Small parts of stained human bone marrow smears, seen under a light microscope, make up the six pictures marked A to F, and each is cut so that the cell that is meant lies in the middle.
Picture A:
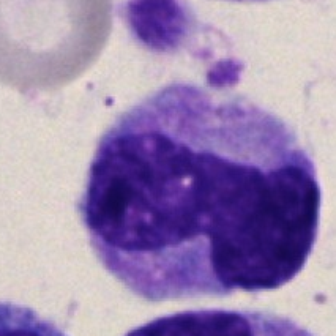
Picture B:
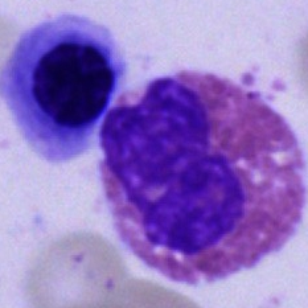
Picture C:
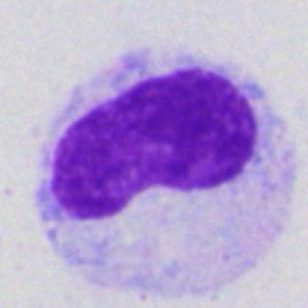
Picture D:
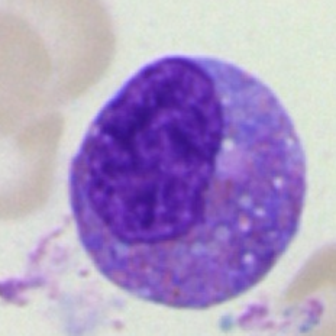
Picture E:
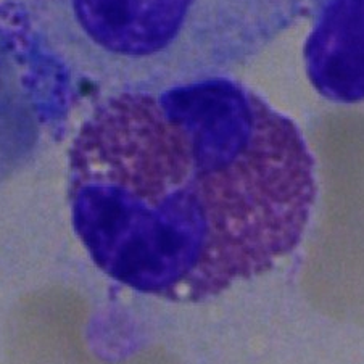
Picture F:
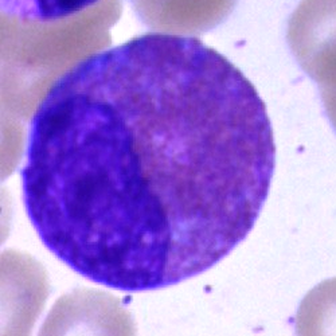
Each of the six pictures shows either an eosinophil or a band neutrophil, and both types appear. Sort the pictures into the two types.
A: band neutrophil
B: eosinophil
C: band neutrophil
D: eosinophil
E: eosinophil
F: eosinophil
